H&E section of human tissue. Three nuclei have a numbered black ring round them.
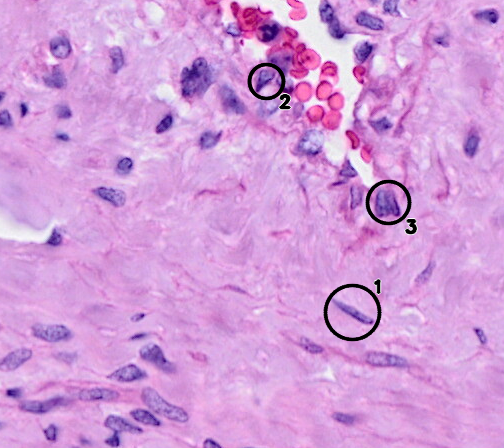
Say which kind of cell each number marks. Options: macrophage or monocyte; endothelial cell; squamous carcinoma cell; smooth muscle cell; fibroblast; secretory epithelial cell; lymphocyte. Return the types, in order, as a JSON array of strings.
["fibroblast", "endothelial cell", "endothelial cell"]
